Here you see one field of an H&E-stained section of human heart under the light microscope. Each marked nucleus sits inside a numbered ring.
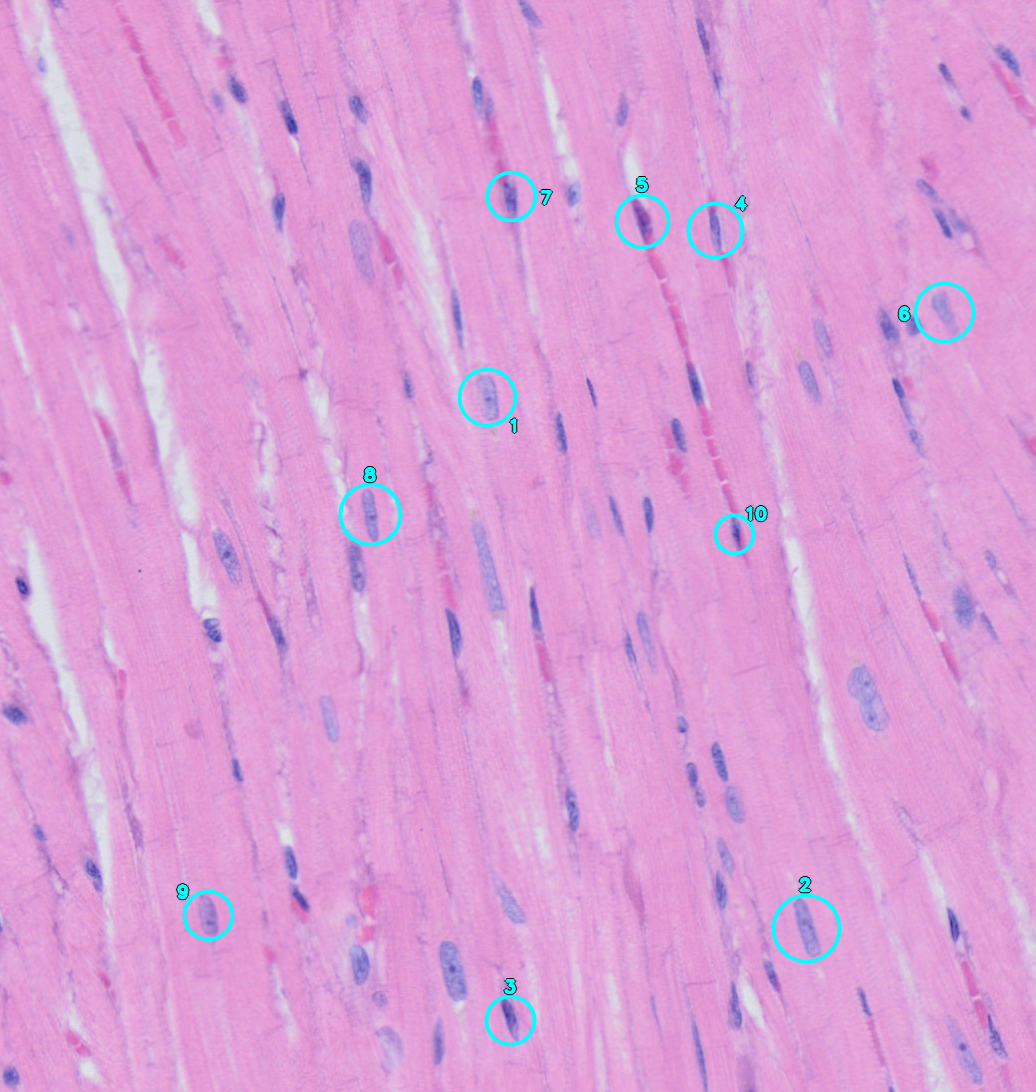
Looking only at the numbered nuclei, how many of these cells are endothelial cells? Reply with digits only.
5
